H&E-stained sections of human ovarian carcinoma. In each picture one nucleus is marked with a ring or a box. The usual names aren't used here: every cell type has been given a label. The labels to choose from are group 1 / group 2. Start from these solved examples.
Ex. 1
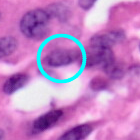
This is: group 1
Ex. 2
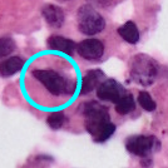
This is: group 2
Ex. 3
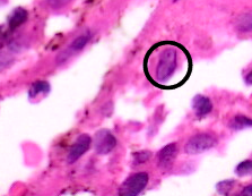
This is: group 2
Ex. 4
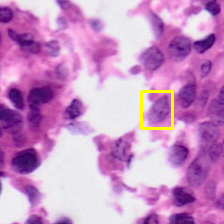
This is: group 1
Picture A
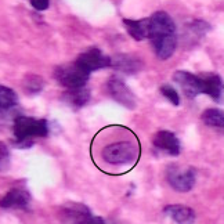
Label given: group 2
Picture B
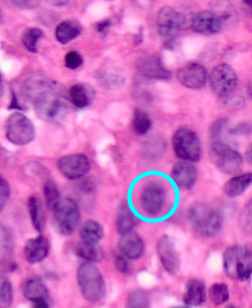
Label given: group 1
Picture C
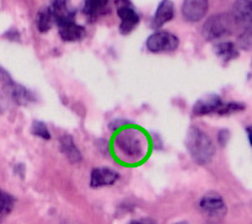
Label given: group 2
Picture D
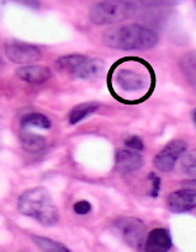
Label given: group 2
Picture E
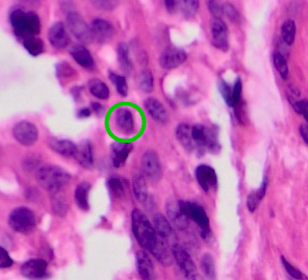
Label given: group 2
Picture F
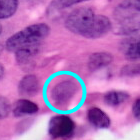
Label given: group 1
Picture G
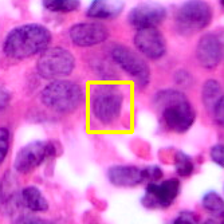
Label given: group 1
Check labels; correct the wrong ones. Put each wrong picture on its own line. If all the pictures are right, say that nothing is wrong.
None of the labels needs changing.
